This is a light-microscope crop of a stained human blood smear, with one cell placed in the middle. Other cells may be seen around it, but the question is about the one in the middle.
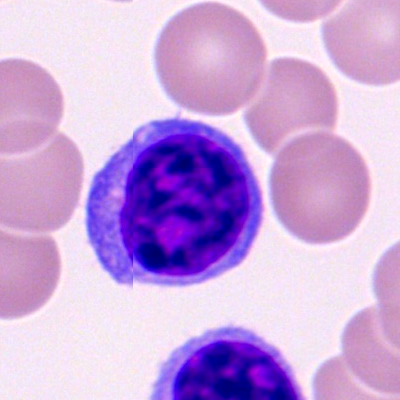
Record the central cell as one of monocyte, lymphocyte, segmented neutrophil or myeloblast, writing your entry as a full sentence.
The cell centered in this field of view is a lymphocyte.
